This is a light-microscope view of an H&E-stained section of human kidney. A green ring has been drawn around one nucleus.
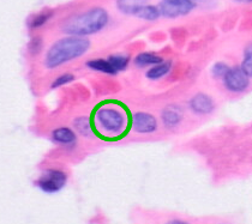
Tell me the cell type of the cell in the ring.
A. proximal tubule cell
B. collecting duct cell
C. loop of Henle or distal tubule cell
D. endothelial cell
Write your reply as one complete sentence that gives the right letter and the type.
Option B is the right choice, for the cell in the ring is a collecting duct cell.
